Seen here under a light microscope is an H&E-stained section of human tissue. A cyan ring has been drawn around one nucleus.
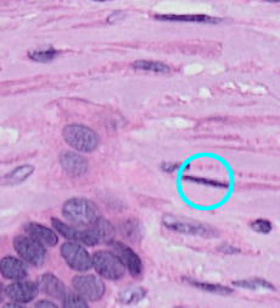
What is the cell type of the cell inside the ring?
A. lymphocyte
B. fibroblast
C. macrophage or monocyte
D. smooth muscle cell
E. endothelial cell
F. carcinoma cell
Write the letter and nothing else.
B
